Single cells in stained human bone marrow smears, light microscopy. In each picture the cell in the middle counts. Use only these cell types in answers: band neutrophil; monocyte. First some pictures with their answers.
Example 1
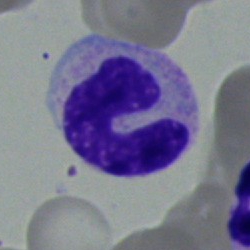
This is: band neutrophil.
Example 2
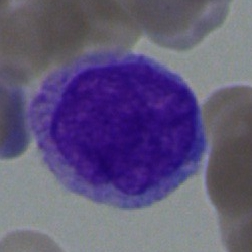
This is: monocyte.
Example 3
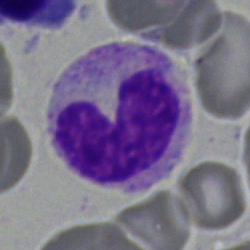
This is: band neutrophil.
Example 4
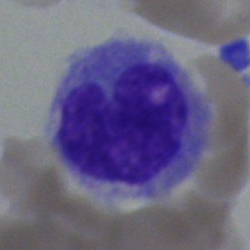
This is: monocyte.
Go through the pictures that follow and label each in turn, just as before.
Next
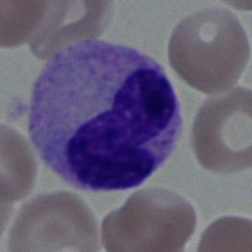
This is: band neutrophil.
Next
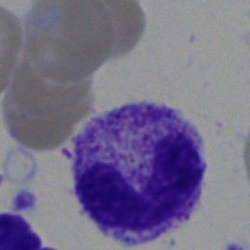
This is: band neutrophil.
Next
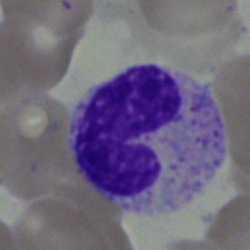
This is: band neutrophil.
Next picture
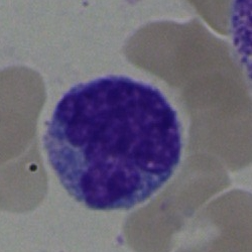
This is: monocyte.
